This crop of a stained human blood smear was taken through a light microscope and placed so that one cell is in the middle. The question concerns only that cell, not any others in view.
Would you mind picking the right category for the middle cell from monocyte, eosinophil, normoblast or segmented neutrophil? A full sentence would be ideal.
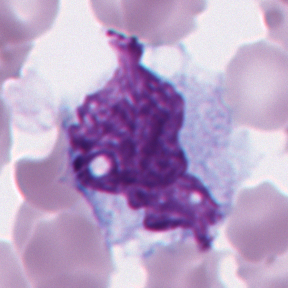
The cell at the heart of this crop is a monocyte.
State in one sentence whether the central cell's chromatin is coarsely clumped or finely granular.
This nucleus has coarsely clumped chromatin.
